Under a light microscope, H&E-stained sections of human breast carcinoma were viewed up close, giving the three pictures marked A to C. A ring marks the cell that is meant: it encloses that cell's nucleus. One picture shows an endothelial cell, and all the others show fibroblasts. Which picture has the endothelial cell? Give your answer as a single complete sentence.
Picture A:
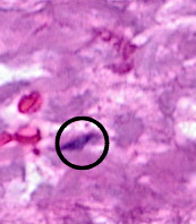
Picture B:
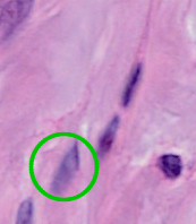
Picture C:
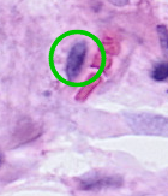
Picture C shows the endothelial cell.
